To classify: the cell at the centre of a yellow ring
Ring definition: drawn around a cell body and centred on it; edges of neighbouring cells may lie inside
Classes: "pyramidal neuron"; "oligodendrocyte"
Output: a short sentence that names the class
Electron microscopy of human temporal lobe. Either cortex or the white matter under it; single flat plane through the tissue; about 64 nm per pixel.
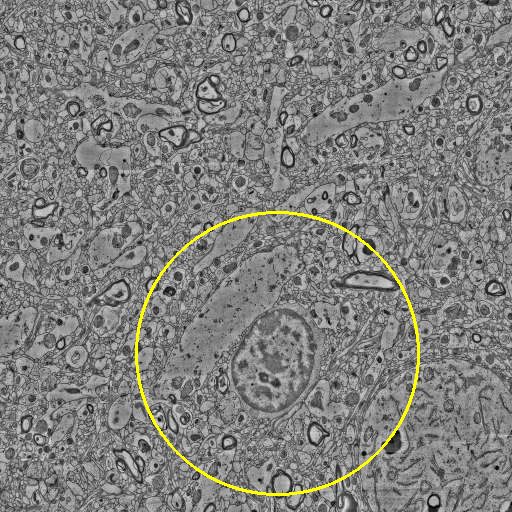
The ringed cell is an oligodendrocyte.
